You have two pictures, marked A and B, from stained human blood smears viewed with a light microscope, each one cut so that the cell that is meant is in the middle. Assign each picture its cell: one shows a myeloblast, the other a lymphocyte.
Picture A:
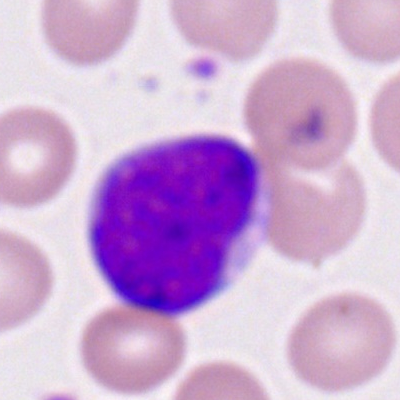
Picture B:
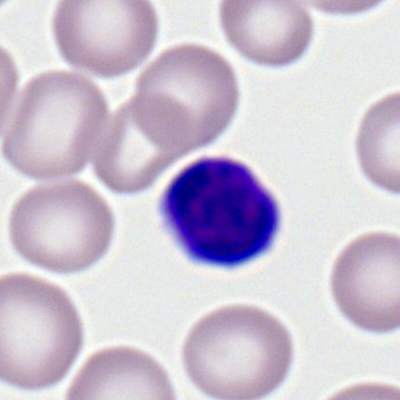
A: myeloblast
B: lymphocyte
